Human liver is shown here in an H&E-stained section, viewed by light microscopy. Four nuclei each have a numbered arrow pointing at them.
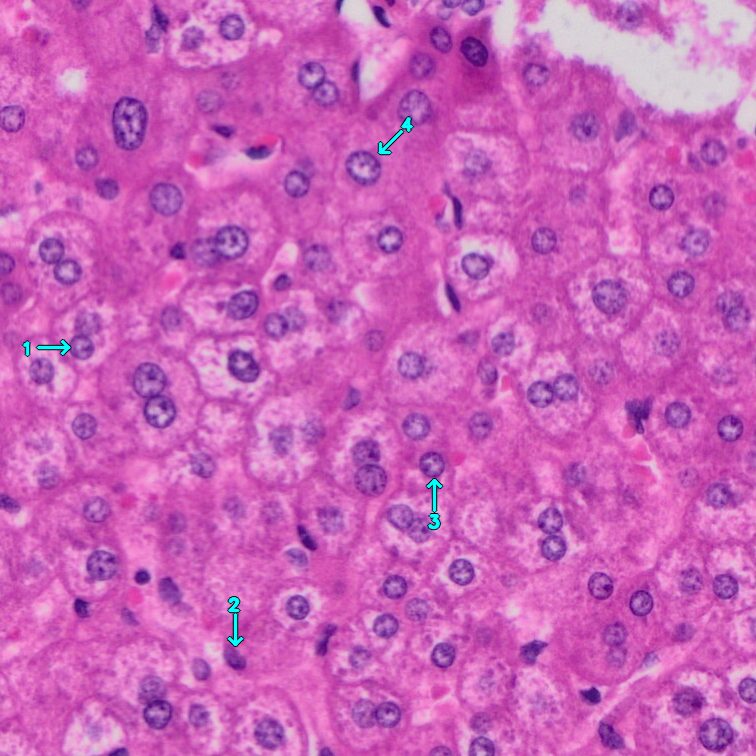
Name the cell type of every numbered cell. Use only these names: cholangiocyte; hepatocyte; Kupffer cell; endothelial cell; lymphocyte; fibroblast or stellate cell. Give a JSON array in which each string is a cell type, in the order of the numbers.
["hepatocyte", "fibroblast or stellate cell", "hepatocyte", "hepatocyte"]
